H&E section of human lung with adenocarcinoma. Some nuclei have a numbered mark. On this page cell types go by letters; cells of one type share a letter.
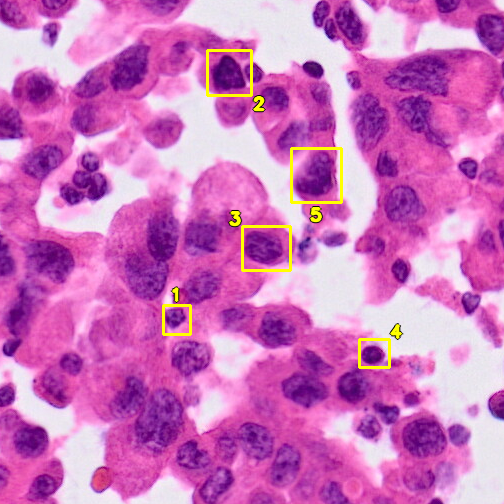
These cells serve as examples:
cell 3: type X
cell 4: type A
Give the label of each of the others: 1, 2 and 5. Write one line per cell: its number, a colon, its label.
1: type A
2: type X
5: type X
